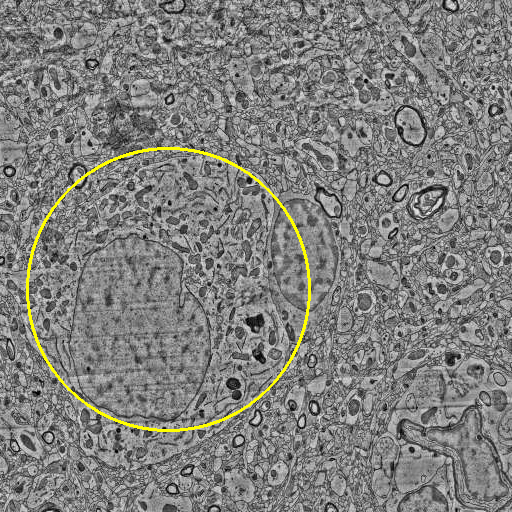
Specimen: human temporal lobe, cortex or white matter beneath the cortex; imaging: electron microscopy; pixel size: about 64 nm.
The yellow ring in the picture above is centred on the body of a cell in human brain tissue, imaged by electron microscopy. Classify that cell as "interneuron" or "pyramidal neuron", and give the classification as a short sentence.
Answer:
The cell in the middle of the ring is an interneuron.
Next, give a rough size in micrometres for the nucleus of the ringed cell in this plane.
About 12 by 9 micrometers for the nucleus, in this plane.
